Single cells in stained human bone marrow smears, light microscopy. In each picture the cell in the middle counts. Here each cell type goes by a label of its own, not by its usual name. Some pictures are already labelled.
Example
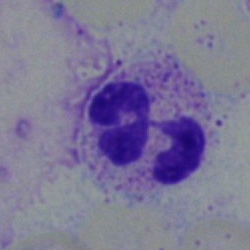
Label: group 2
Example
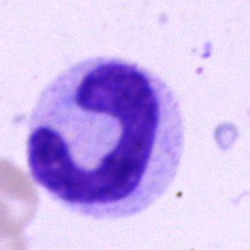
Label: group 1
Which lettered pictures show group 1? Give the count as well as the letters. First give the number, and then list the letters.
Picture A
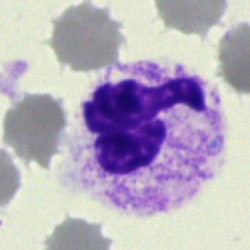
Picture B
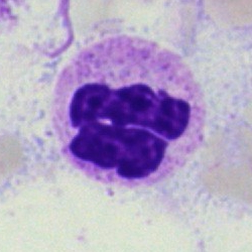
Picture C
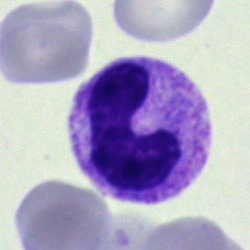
Count: 1 (C)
